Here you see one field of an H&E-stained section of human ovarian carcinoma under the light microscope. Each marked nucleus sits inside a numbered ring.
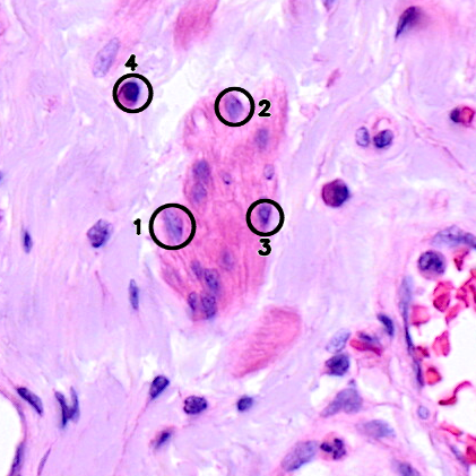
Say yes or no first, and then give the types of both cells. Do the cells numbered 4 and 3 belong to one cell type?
No, that's off: cell 4 is a lymphocyte and cell 3 is a smooth muscle cell.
